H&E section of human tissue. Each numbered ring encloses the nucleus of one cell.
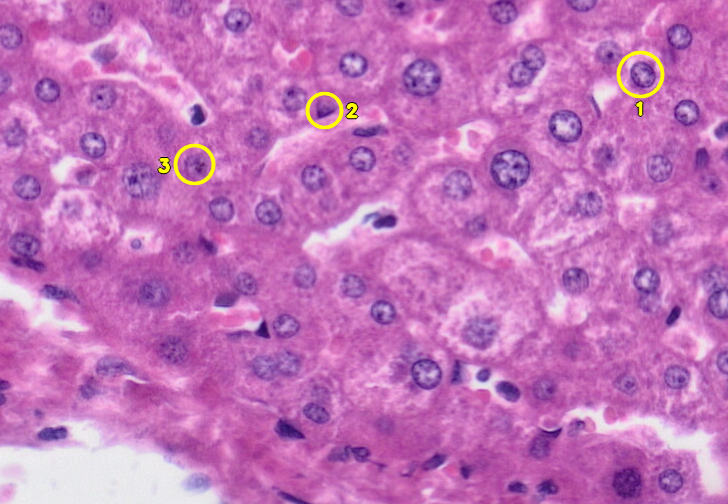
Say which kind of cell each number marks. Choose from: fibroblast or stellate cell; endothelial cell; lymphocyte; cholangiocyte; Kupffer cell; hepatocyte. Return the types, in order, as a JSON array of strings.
["hepatocyte", "fibroblast or stellate cell", "hepatocyte"]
